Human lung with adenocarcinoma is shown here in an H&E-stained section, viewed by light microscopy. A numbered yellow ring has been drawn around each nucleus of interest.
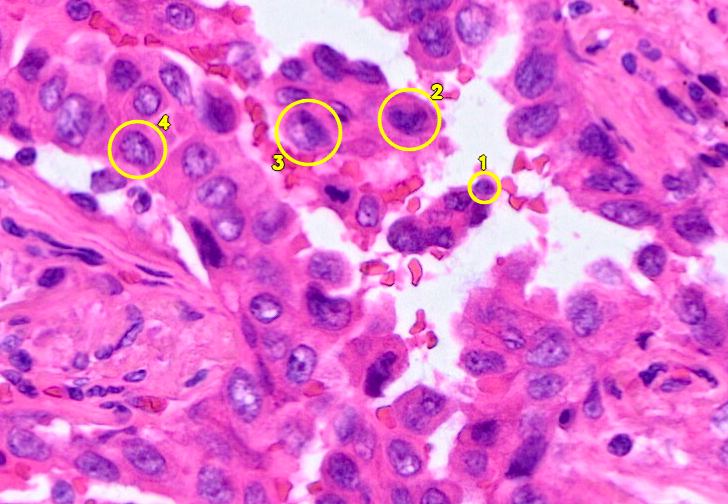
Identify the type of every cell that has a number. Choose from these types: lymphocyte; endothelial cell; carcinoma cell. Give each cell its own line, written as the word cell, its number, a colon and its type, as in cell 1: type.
cell 1: lymphocyte
cell 2: carcinoma cell
cell 3: carcinoma cell
cell 4: carcinoma cell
